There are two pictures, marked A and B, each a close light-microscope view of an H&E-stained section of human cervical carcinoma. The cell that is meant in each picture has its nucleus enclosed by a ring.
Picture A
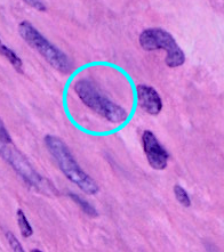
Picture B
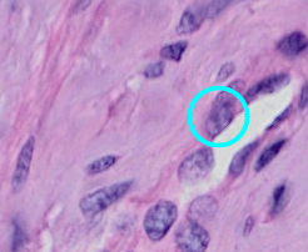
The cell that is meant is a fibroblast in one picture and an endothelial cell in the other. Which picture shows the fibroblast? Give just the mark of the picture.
A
